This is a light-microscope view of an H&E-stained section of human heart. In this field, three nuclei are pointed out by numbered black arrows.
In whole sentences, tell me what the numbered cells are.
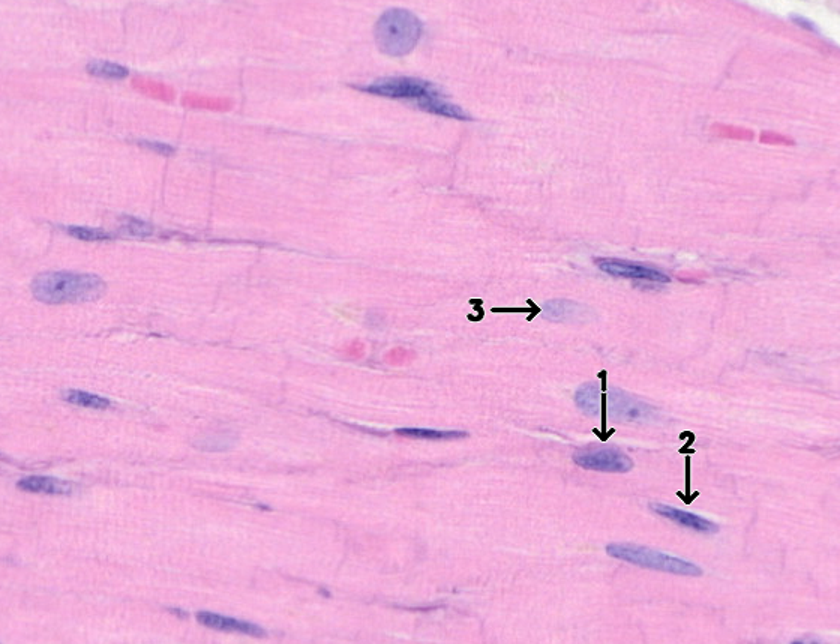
Cell 1 is a cardiomyocyte, cell 2 is an endothelial cell and cell 3 is a cardiomyocyte.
